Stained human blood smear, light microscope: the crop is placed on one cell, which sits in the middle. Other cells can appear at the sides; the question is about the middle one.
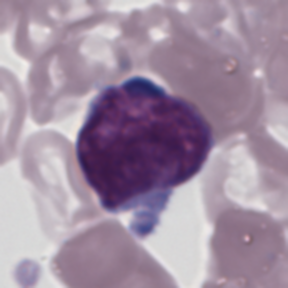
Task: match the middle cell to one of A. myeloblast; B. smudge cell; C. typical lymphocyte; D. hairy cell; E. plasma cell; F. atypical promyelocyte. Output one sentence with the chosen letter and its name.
Option A is the right one, for the cell in the middle is a myeloblast.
